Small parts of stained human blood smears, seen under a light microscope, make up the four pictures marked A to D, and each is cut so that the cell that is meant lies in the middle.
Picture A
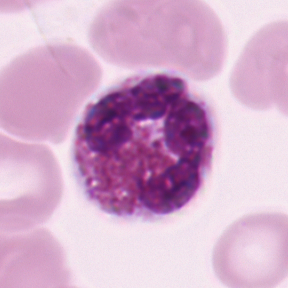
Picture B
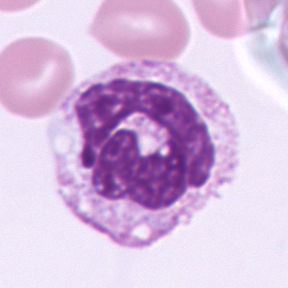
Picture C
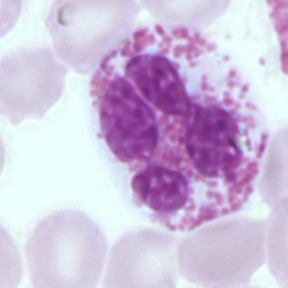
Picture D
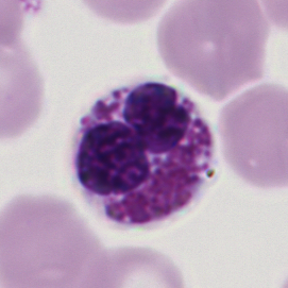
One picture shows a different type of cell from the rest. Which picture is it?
B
